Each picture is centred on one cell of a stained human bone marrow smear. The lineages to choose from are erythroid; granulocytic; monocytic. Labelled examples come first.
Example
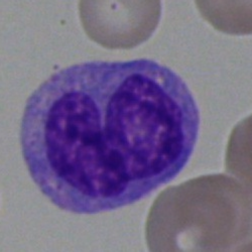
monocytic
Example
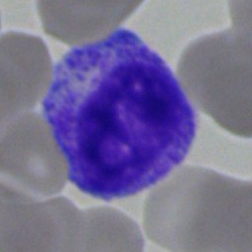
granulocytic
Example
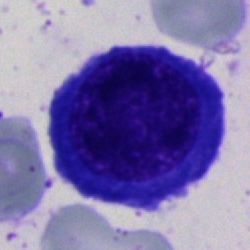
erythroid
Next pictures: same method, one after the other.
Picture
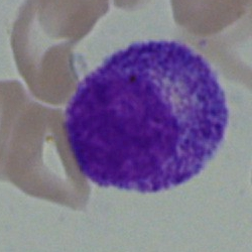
granulocytic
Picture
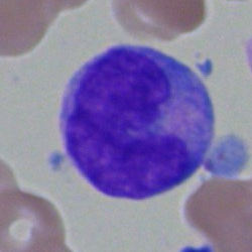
monocytic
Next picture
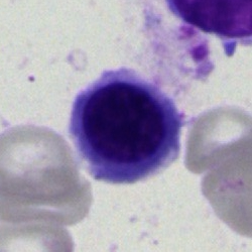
erythroid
